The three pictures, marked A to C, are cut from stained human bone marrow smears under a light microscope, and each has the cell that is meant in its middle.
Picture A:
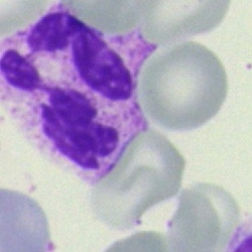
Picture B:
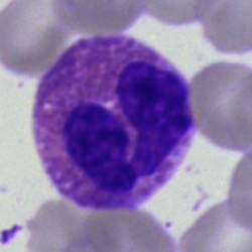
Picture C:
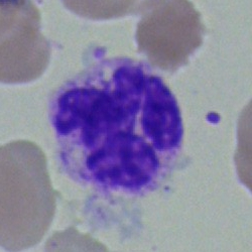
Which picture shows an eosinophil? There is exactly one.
B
